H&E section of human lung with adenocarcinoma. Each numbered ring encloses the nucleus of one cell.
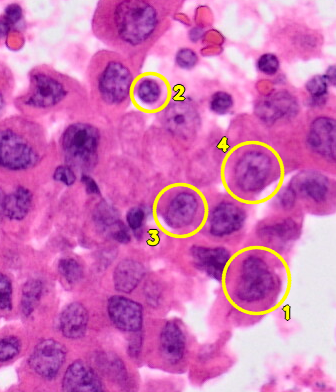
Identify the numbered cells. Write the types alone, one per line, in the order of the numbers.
carcinoma cell
lymphocyte
carcinoma cell
carcinoma cell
